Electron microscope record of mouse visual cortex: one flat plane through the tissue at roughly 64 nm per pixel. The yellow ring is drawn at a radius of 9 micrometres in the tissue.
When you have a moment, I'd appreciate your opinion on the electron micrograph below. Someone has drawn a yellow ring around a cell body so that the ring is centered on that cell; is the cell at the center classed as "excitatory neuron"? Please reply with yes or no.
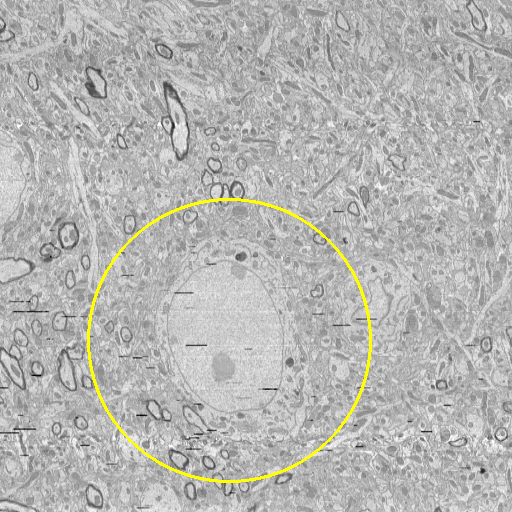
Yes, that cell is of the named kind.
